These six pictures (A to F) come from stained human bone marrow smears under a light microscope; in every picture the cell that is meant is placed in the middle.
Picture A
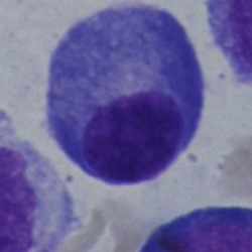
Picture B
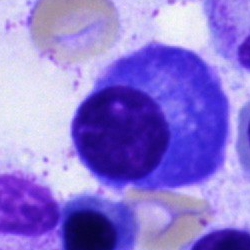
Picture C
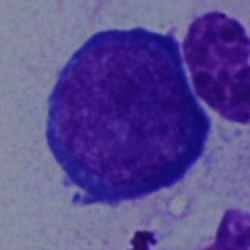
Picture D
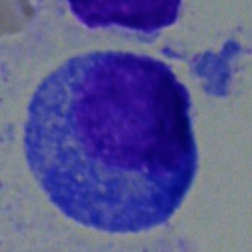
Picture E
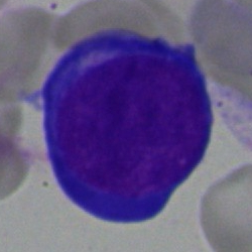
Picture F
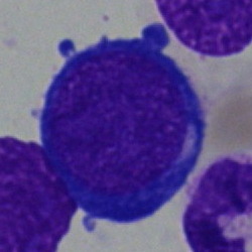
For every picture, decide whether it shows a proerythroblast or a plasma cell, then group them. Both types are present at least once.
A: plasma cell
B: plasma cell
C: proerythroblast
D: plasma cell
E: proerythroblast
F: proerythroblast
